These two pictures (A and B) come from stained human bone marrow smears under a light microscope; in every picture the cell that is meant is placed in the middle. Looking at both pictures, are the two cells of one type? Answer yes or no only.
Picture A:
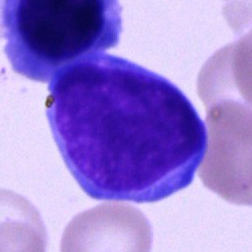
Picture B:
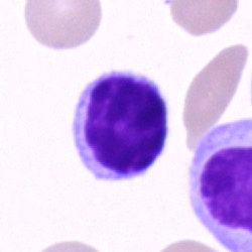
no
